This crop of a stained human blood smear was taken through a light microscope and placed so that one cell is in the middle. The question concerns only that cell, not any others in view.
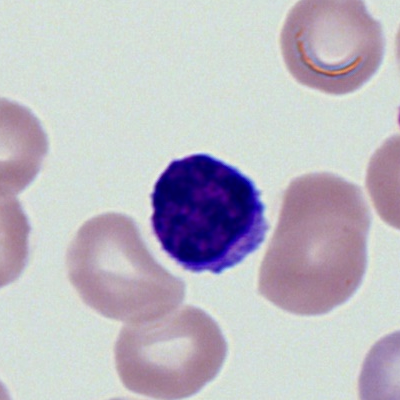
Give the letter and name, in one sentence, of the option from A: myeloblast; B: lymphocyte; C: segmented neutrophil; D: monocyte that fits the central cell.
The middle of the crop contains a lymphocyte, so option B is right.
